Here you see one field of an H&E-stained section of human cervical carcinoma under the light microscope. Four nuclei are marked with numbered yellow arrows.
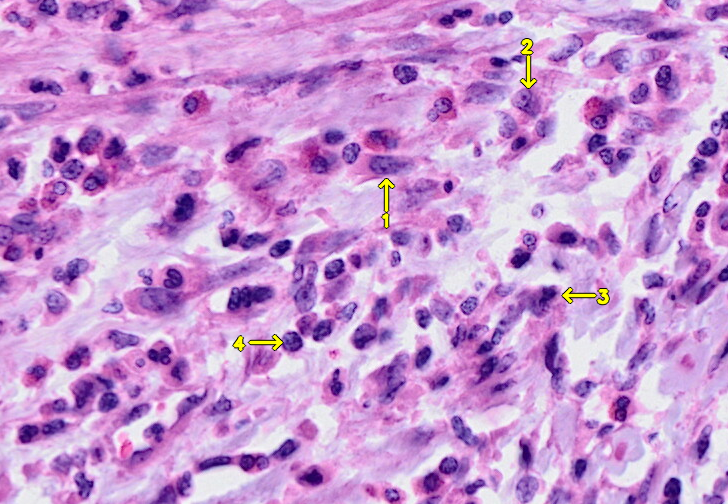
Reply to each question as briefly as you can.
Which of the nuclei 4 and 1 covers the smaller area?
4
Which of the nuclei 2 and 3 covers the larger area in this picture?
2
